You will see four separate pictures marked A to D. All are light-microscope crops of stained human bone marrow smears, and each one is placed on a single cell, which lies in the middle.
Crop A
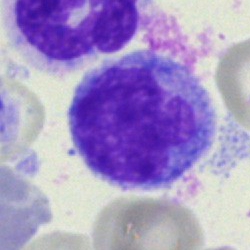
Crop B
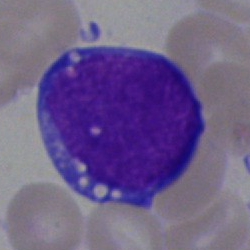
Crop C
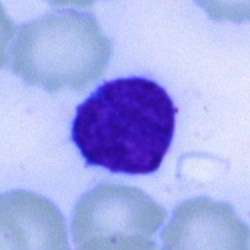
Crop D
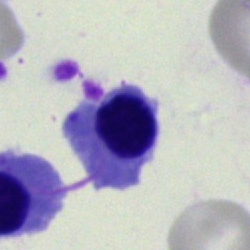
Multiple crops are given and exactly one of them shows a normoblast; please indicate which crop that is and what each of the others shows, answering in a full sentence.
On the one hand crop D shows a normoblast; on the other, crop A is a monocyte, crop B is a blast and crop C is a lymphocyte.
